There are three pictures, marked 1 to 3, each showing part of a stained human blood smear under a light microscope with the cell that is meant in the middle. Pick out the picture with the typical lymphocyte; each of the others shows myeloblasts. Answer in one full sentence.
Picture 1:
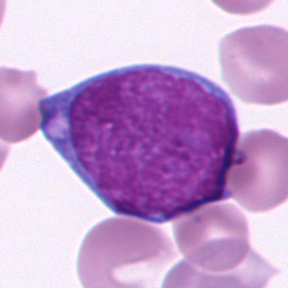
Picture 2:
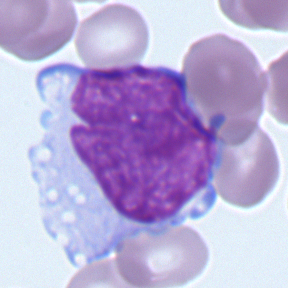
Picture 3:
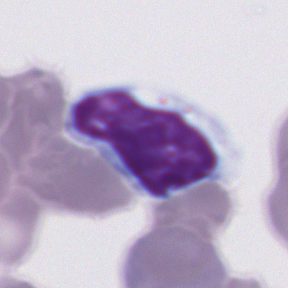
Picture 3 is the one that shows the typical lymphocyte.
